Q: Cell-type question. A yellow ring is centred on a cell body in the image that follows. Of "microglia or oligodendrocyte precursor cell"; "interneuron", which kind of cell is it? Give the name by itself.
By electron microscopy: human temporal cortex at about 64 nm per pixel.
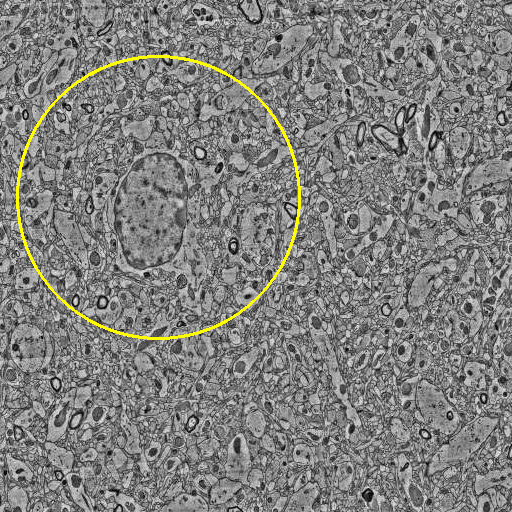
microglia or oligodendrocyte precursor cell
